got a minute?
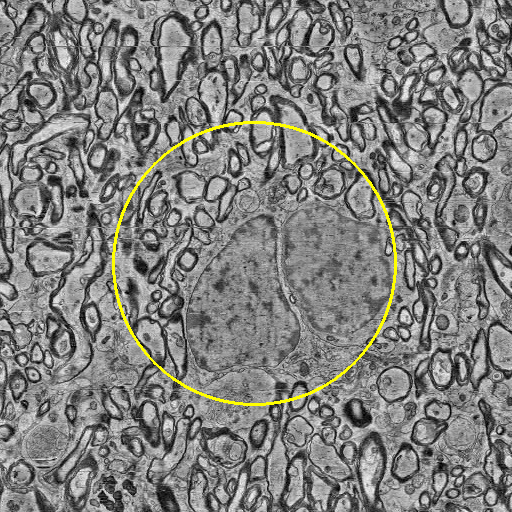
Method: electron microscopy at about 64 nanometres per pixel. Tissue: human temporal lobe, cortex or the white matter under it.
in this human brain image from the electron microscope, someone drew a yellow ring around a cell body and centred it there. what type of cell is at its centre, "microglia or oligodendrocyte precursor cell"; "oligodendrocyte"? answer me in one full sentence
It's a microglial cell or oligodendrocyte precursor cell at the middle of that yellow ring in the shot.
